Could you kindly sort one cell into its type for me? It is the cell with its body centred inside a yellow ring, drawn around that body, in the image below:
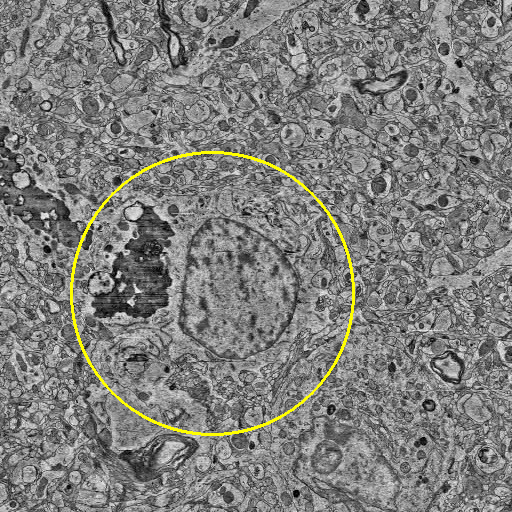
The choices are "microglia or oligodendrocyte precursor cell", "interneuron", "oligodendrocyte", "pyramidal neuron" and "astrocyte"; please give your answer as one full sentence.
The cell whose body lies centred in the yellow ring here is an astrocyte.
